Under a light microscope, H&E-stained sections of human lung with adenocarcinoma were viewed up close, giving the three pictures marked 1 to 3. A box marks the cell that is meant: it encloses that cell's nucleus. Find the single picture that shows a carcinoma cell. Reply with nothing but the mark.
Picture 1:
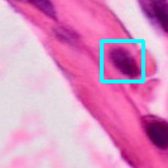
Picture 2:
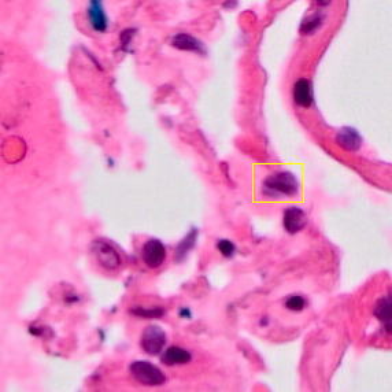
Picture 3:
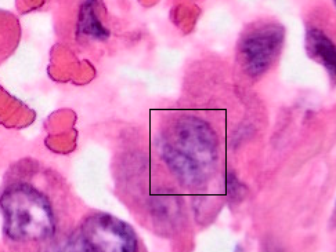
3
